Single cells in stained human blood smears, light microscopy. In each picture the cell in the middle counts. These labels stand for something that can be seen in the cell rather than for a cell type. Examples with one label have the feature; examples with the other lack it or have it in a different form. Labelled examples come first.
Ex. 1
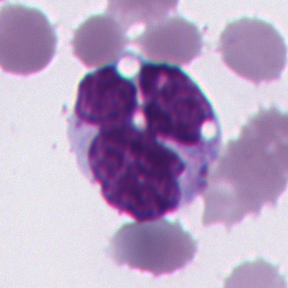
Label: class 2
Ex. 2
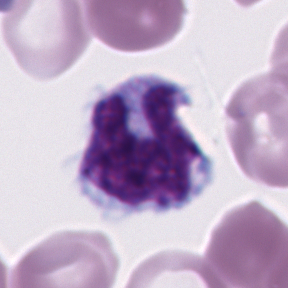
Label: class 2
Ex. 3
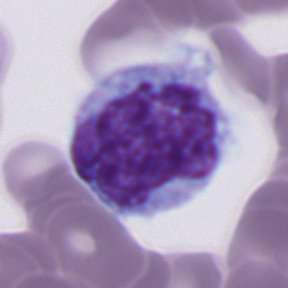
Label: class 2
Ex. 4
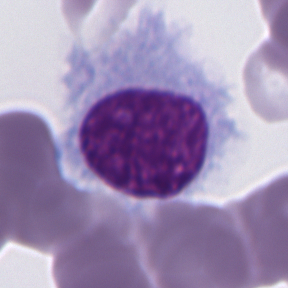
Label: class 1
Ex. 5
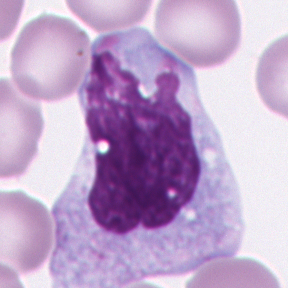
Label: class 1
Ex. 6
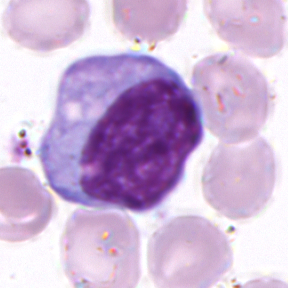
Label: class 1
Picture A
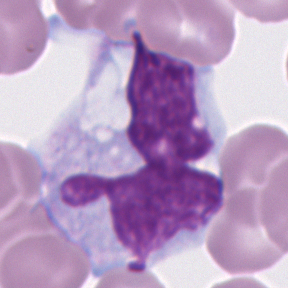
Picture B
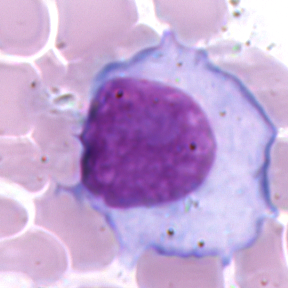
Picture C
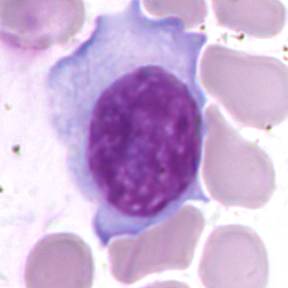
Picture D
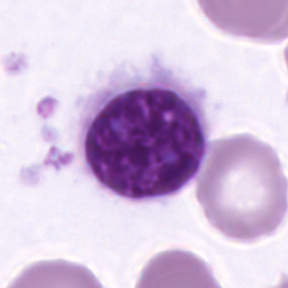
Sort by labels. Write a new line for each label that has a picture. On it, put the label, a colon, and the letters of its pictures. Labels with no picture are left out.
class 2: D
class 1: A, B, C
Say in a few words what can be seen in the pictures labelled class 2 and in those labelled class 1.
class 2: scant cytoplasm; class 1: abundant cytoplasm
